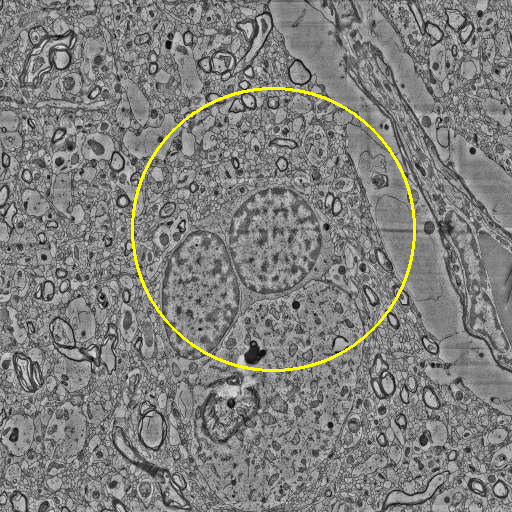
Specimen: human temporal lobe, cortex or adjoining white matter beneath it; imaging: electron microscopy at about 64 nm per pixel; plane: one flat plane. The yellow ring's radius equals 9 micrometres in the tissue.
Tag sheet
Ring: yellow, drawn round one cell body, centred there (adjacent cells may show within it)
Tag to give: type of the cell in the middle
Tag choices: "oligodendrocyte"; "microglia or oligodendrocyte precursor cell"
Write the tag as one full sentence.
I tag the cell centred in the yellow ring as an oligodendrocyte in this picture.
